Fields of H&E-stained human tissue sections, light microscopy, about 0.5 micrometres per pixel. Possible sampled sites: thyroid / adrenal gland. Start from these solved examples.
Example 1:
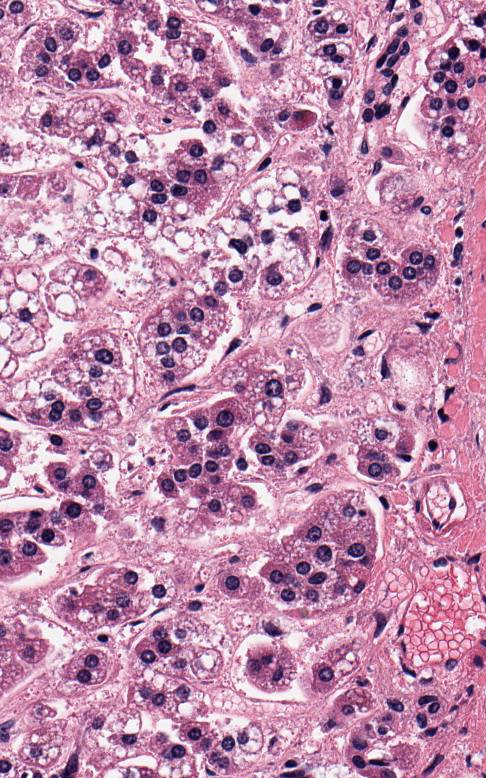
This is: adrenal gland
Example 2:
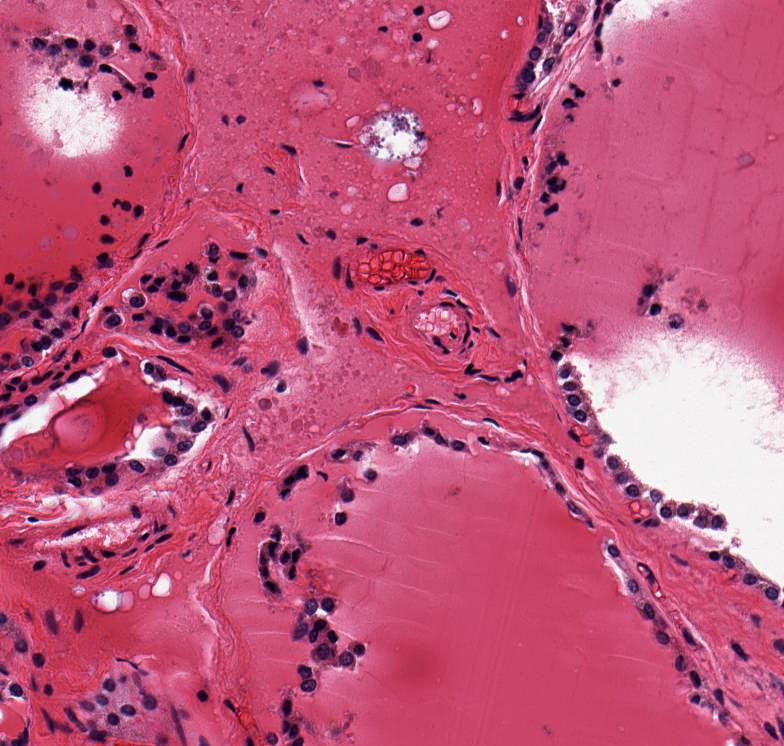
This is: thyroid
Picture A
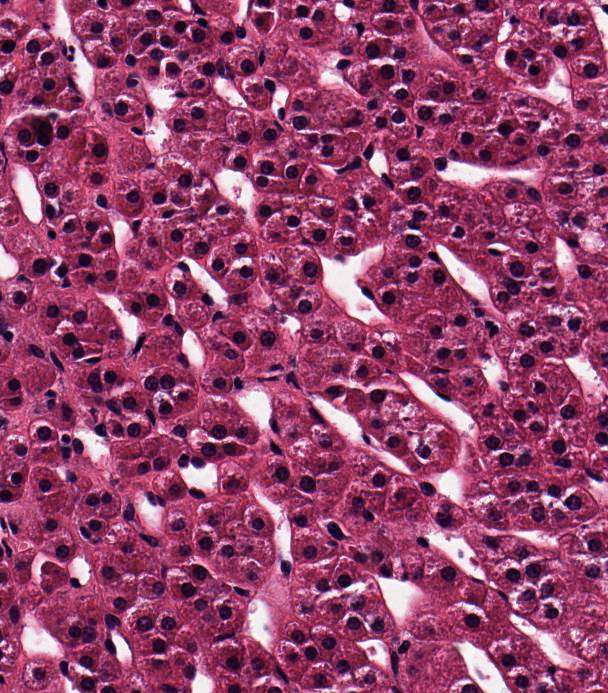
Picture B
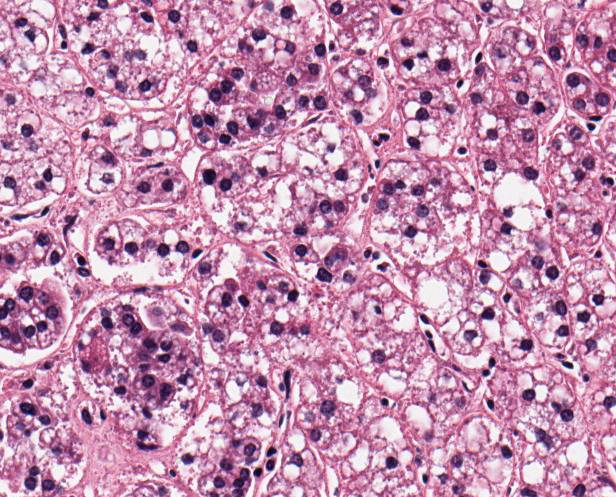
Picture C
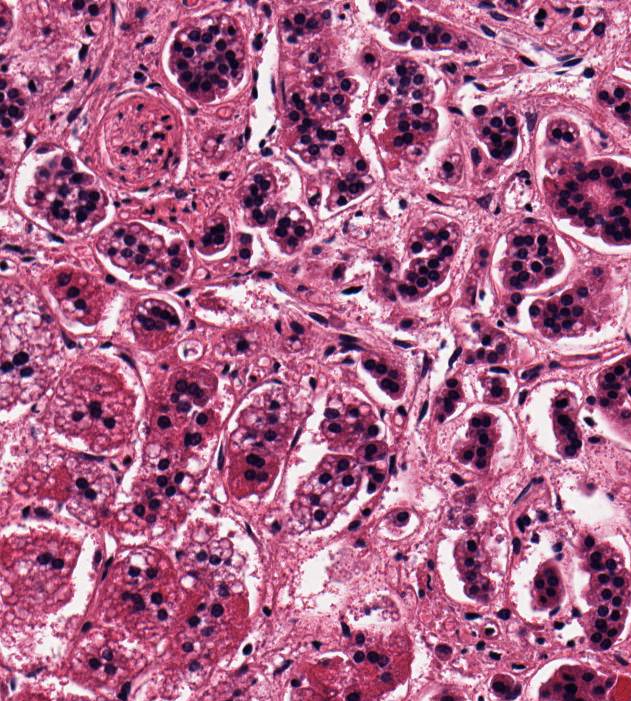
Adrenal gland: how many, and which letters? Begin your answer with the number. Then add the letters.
3: A, B, C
